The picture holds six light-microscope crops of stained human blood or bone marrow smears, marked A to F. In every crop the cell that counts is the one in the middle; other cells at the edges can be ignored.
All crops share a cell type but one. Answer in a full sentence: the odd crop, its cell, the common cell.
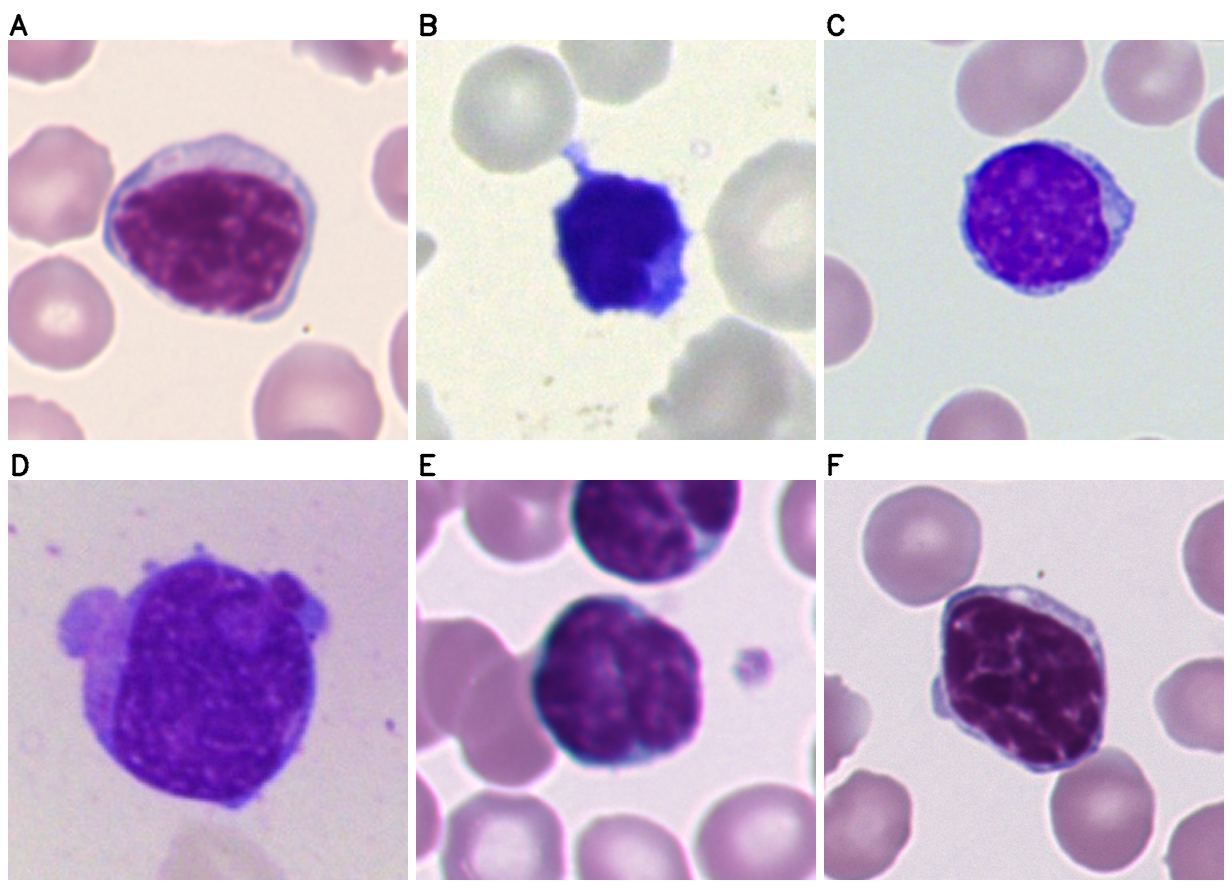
The crop that differs is crop D, showing a blast; the others show lymphocytes.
